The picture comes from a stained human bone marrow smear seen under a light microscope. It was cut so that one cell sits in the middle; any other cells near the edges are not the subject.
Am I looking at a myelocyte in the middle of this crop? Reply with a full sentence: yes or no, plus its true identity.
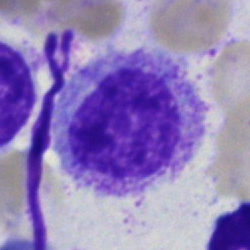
Yes, the crop's central cell is a myelocyte.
